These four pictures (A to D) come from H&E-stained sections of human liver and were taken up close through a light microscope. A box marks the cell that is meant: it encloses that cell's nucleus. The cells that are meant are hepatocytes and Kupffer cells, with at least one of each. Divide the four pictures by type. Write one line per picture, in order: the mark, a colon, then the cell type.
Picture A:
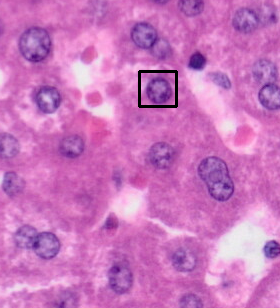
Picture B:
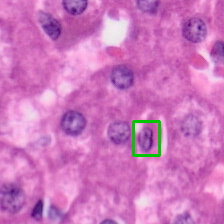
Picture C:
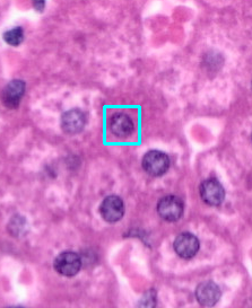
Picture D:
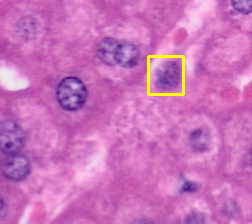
A: hepatocyte
B: Kupffer cell
C: hepatocyte
D: Kupffer cell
